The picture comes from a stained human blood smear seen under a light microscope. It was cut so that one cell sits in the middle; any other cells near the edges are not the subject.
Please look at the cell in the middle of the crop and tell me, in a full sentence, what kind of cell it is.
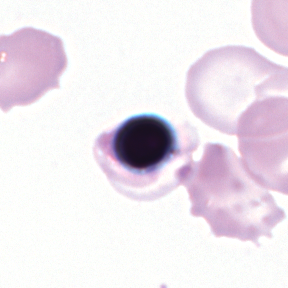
The cell in the middle of the field of view is a normoblast.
